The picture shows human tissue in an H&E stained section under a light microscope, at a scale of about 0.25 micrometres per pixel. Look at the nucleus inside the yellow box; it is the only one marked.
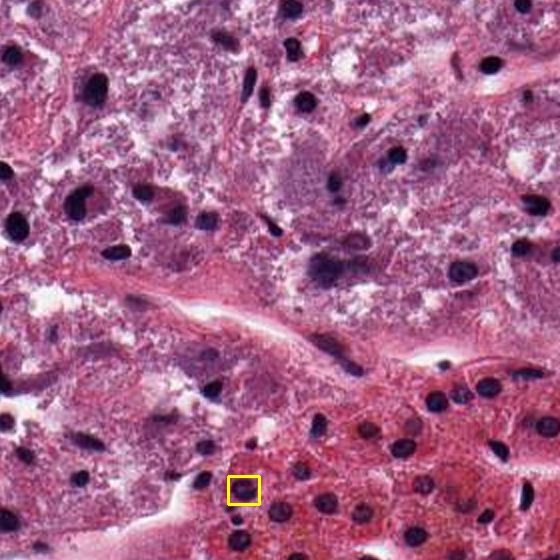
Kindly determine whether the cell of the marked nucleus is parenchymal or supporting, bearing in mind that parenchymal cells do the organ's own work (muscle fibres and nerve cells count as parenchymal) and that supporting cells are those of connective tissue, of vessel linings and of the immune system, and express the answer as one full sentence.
To a parenchymal cell, namely an adrenal cortical cell, belongs the marked nucleus.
